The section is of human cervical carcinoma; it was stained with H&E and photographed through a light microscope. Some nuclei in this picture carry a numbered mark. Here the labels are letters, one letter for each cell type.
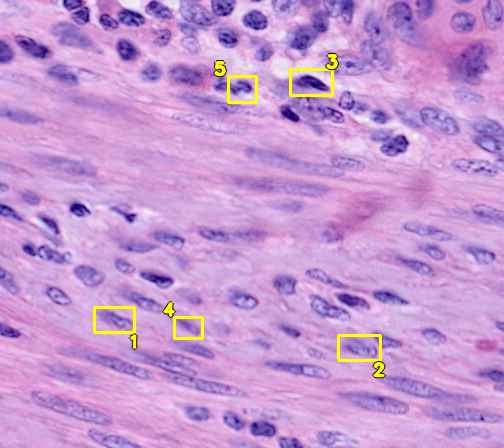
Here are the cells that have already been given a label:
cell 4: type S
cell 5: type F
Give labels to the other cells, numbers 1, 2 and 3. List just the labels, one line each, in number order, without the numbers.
type S
type S
type F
